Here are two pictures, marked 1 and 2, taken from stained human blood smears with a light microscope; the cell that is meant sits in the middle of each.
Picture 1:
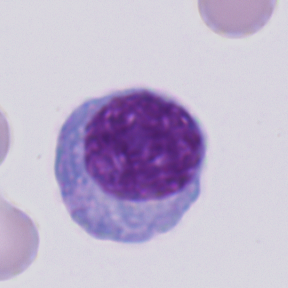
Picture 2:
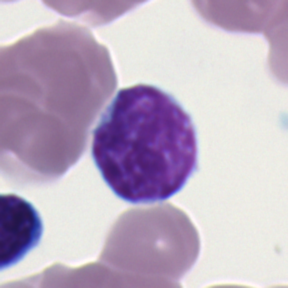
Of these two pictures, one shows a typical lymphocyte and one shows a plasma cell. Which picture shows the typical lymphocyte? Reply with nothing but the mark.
2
